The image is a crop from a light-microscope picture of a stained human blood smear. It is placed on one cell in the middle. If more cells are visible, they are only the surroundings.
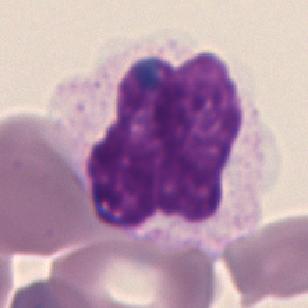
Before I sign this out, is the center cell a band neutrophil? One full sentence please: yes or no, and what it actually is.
No, the central cell is classed as a segmented neutrophil, not a band neutrophil.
